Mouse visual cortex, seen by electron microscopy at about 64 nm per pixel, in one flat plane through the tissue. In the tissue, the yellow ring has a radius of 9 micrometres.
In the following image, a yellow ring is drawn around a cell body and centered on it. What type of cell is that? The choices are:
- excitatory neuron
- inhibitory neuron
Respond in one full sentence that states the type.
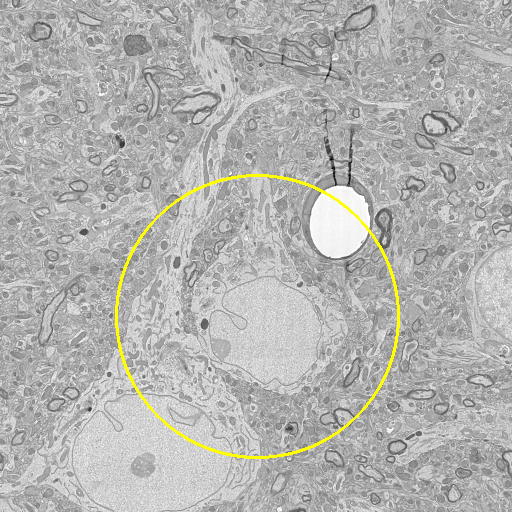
The cell at the center of the yellow ring in the image is an excitatory neuron.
